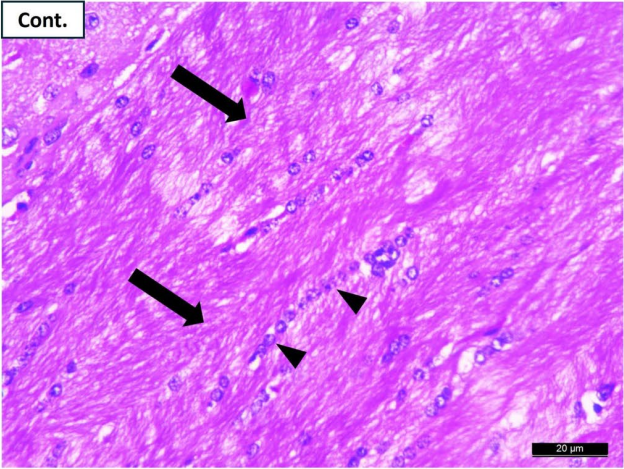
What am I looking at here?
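Pink fibers run densely packed and parallel across the field, giving a finely streaked appearance. Small, rounded, darkly stained purple nuclei lie among them, several lined up in single-file rows that follow the direction of the fibers. Only small pale patches interrupt the fibers, and no large vacuoles are seen.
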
